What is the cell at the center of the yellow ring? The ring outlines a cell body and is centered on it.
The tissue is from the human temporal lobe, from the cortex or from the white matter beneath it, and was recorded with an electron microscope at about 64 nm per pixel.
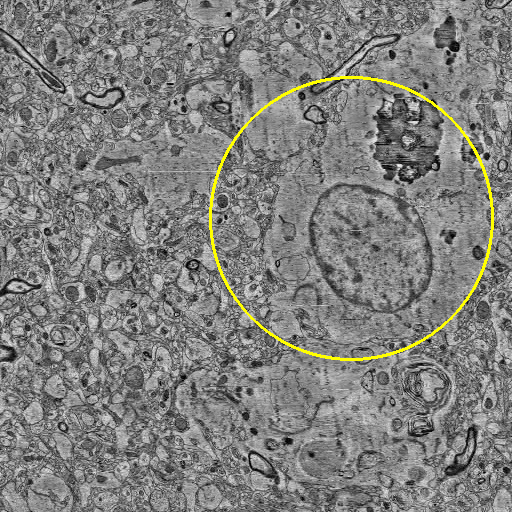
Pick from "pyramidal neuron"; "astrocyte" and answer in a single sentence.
The yellow ring is centered on an astrocyte.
